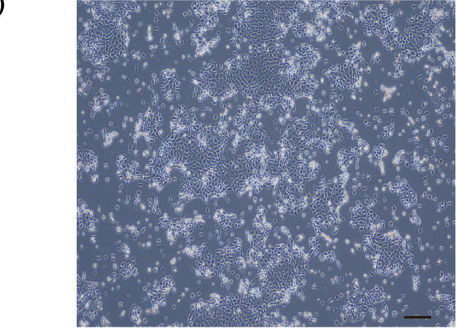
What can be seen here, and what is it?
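This low-power view of a cell culture shows small cells gathered into many irregular, flat patches of varying size that spread across the dish. Between the patches are open areas of empty background. Within each patch the cells are small and polygonal and lie closely against one another, forming a sheet with a cobblestone-like look. Many small, round, bright cells are scattered between the patches and sit on top of them; these look rounded up or loosely attached.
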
